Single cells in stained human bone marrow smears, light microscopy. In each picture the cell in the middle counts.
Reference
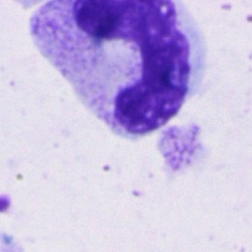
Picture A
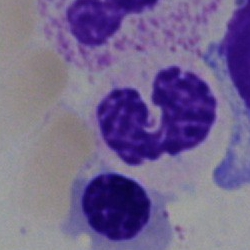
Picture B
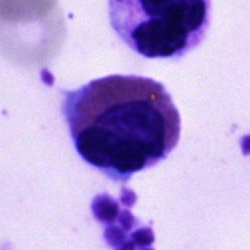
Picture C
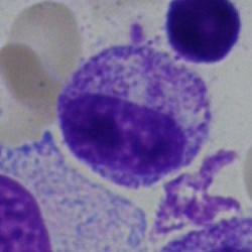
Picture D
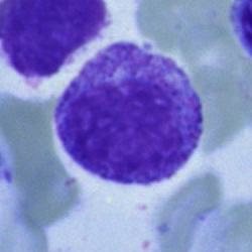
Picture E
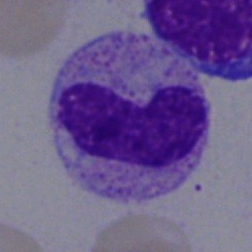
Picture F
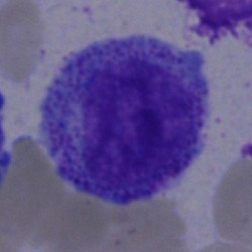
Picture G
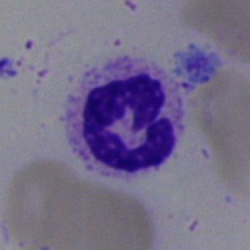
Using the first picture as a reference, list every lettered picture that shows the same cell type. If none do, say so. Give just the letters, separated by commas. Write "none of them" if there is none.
E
